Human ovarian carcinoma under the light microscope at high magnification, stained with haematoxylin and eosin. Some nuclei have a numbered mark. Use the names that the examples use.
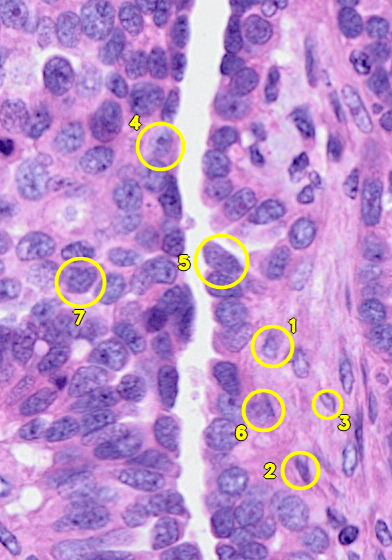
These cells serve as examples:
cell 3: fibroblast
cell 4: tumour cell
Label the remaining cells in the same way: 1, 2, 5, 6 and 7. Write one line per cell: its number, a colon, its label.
1: fibroblast
2: fibroblast
5: tumour cell
6: fibroblast
7: tumour cell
